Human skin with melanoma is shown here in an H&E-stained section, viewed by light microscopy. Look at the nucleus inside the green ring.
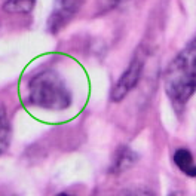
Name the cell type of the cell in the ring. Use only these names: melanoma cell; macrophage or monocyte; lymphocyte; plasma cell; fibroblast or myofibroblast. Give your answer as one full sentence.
The cell in the ring is a melanoma cell.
